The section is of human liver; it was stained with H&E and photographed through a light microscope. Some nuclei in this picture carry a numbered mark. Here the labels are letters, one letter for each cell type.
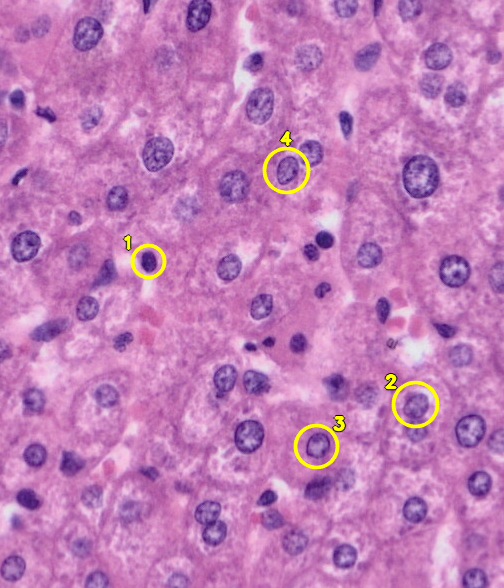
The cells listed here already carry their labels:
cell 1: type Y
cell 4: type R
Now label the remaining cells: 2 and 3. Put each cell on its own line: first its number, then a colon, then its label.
2: type R
3: type R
